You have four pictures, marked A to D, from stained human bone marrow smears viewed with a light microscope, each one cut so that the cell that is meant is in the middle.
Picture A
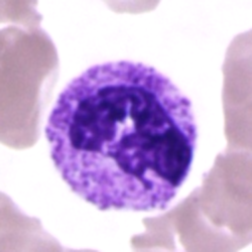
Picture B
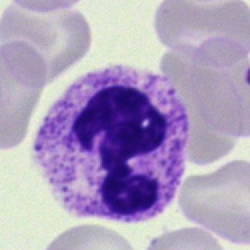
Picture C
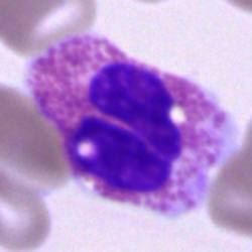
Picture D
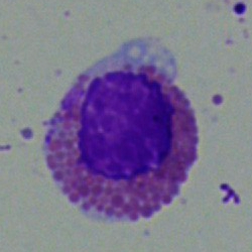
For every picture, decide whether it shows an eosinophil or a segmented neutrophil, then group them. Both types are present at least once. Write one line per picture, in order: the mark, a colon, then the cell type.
A: segmented neutrophil
B: segmented neutrophil
C: eosinophil
D: eosinophil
